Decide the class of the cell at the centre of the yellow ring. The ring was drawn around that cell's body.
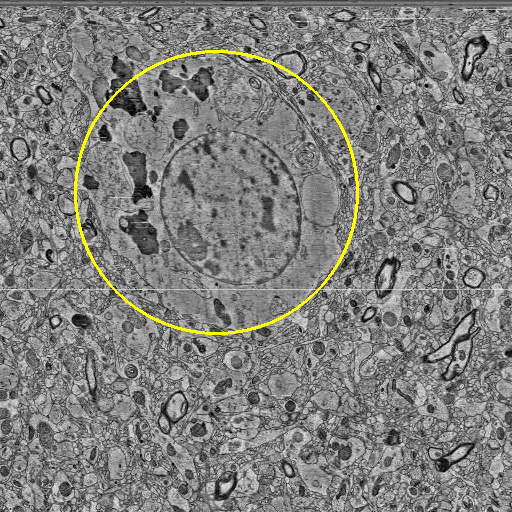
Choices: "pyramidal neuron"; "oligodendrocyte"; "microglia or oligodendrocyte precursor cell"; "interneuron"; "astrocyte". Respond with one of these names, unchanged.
astrocyte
